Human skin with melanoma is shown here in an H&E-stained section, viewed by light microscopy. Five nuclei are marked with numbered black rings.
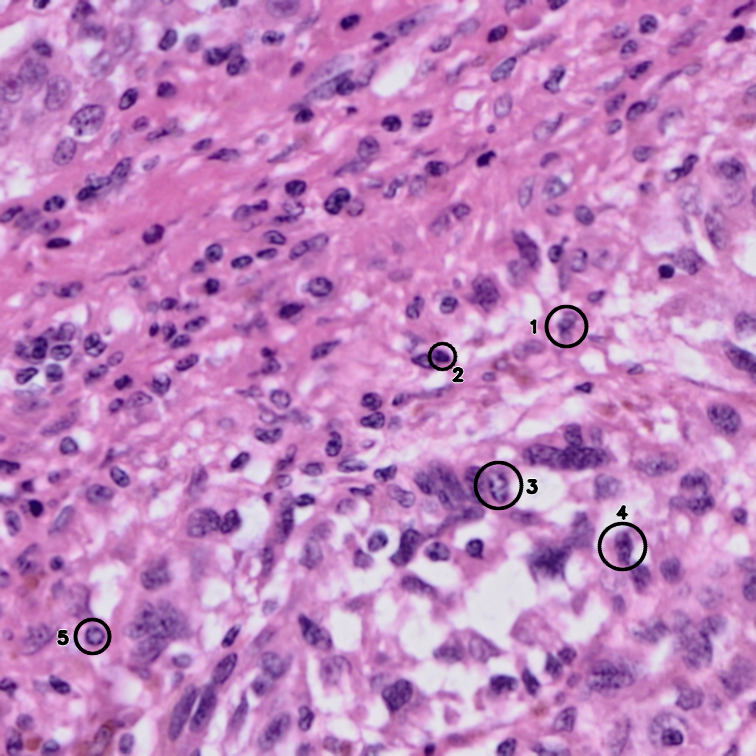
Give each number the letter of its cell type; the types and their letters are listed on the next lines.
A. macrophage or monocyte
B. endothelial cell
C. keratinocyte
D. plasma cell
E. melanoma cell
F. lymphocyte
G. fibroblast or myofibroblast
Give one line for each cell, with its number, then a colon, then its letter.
1: A
2: F
3: E
4: E
5: F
